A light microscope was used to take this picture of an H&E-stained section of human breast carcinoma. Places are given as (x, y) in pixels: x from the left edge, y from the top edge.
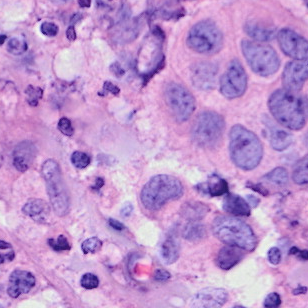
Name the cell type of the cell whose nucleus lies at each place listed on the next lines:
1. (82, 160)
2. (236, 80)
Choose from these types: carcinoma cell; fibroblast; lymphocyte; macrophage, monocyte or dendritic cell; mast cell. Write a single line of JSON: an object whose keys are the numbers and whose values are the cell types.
{"1": "lymphocyte", "2": "carcinoma cell"}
